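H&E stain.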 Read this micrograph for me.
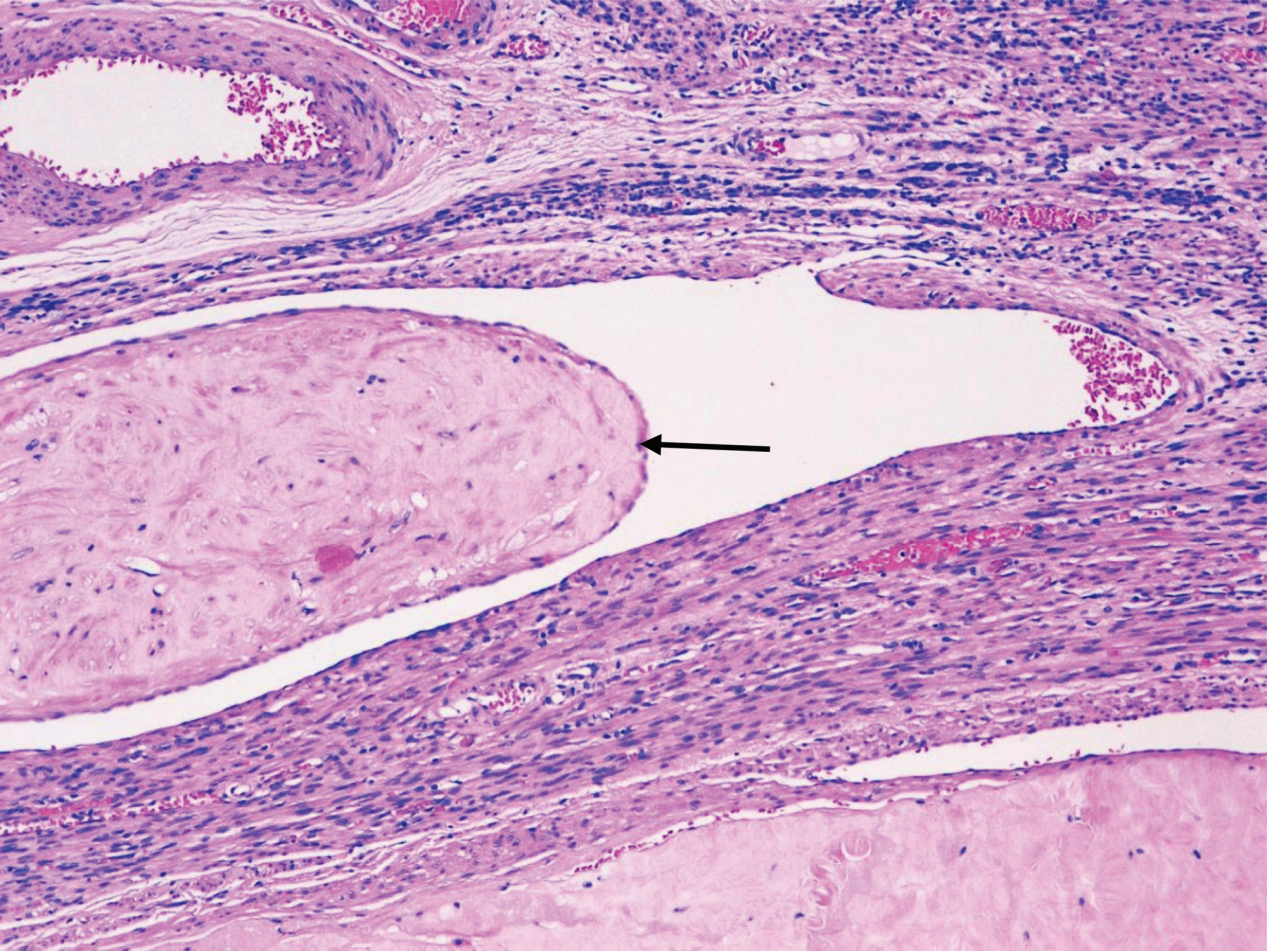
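A pale pink mass of smooth-muscle tissue lies free inside a vessel lumen left of center, with a second similar mass at the bottom edge. The mass is made of loosely arranged spindle cells with elongated nuclei in abundant pale pink, partly hyaline matrix, with a few small clear spaces. Its rounded surface is covered by a single thin layer of flat cells with dark, flattened nuclei, like the lining of the lumen itself. The lumen holds clusters of red blood cells. Around it lies a wall of densely packed, wavy spindle cells with dark nuclei, and further vessels with red cells appear in the upper left and between the bundles.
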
